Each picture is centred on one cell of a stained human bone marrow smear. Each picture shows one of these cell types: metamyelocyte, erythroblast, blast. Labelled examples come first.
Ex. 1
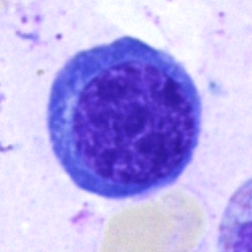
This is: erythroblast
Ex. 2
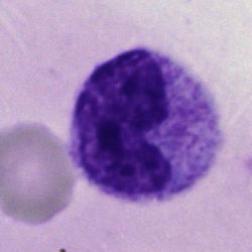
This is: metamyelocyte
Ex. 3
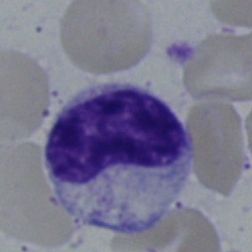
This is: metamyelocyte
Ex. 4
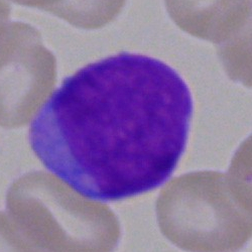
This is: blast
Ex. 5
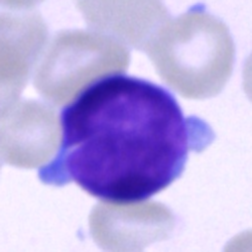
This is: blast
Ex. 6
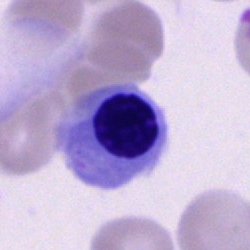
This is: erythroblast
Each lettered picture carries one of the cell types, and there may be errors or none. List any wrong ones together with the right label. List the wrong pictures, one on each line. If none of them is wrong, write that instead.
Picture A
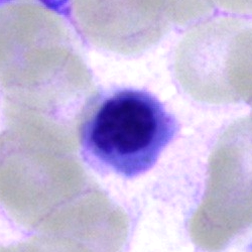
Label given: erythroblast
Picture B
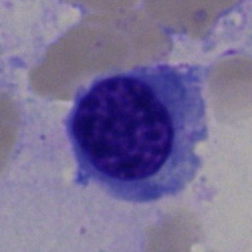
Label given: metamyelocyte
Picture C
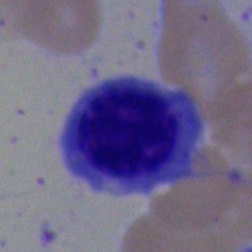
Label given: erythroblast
B: change metamyelocyte to erythroblast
